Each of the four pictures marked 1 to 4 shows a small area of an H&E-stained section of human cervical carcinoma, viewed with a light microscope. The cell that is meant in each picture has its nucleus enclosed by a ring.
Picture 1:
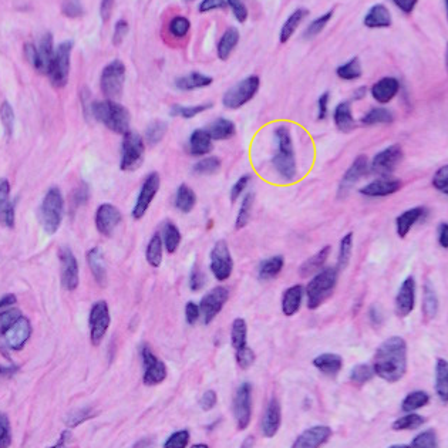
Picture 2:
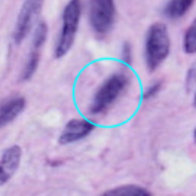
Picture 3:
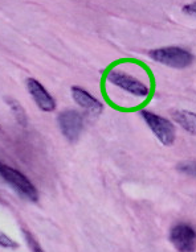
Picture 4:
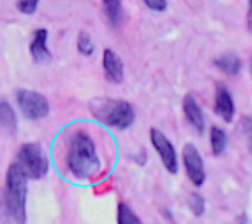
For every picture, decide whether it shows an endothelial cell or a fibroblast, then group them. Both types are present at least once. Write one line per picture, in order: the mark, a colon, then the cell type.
1: fibroblast
2: fibroblast
3: fibroblast
4: endothelial cell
